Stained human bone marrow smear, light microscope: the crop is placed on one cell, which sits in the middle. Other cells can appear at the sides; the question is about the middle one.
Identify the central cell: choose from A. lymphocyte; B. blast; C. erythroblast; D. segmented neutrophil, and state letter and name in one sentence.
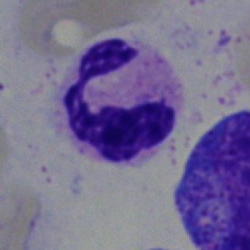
Option D is the right choice, the central cell being a segmented neutrophil.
